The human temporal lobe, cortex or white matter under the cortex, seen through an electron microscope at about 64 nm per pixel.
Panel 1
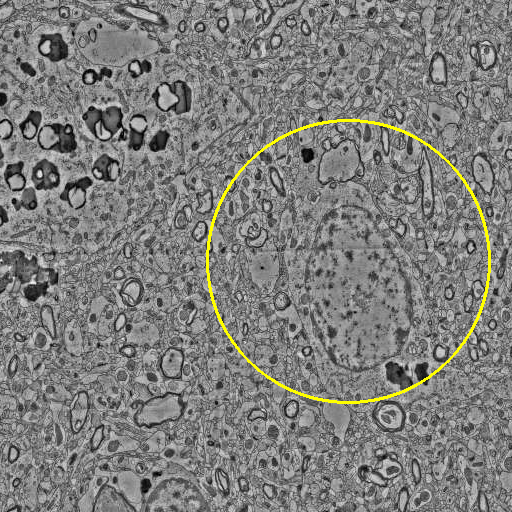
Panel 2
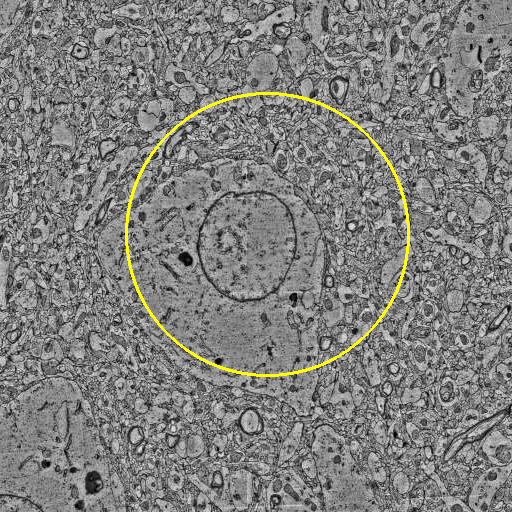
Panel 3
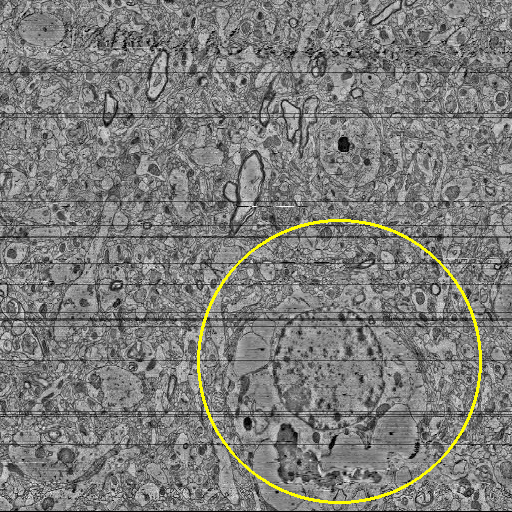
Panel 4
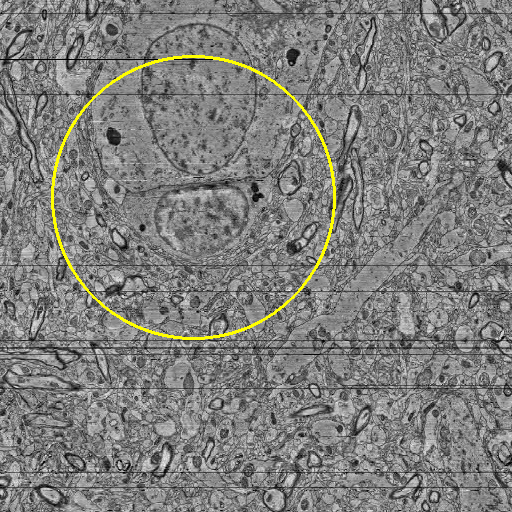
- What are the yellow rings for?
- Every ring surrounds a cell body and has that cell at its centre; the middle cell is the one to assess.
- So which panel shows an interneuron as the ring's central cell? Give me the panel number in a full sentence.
The panel whose ring is centred on the cell in question is panel 1.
